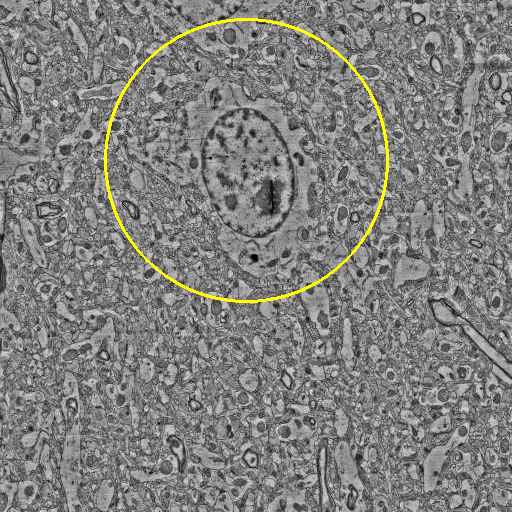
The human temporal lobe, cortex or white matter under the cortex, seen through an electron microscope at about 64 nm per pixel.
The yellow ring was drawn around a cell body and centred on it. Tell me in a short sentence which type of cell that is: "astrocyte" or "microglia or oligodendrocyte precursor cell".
The cell at the ring's centre is an astrocyte.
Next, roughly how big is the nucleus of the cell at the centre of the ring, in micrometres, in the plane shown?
About 8 by 6 micrometers for the nucleus, in this plane.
